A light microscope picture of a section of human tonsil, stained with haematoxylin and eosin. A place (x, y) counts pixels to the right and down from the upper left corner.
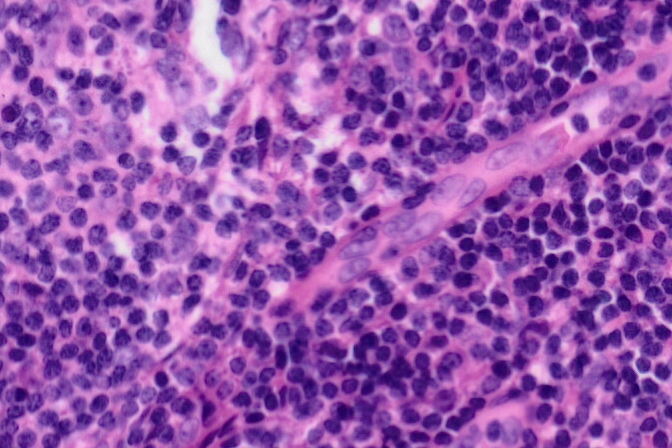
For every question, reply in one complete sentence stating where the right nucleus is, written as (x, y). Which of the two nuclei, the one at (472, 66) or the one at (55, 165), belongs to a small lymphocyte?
The member of the pair belonging to a small lymphocyte is the nucleus at (472, 66).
